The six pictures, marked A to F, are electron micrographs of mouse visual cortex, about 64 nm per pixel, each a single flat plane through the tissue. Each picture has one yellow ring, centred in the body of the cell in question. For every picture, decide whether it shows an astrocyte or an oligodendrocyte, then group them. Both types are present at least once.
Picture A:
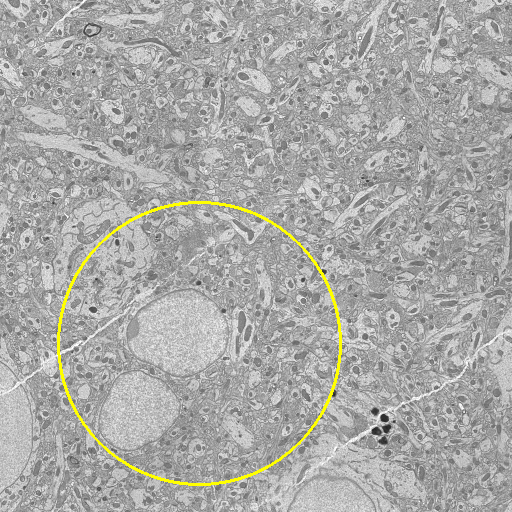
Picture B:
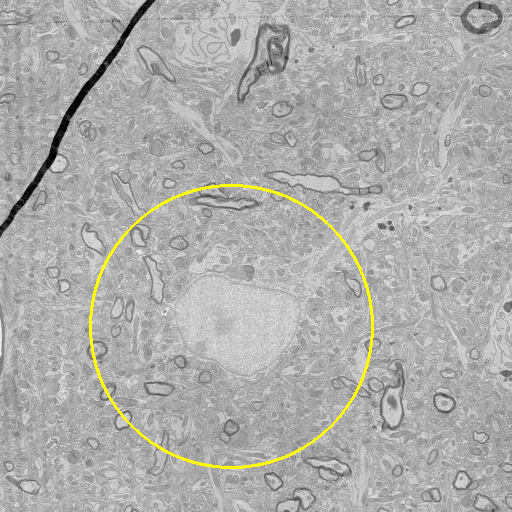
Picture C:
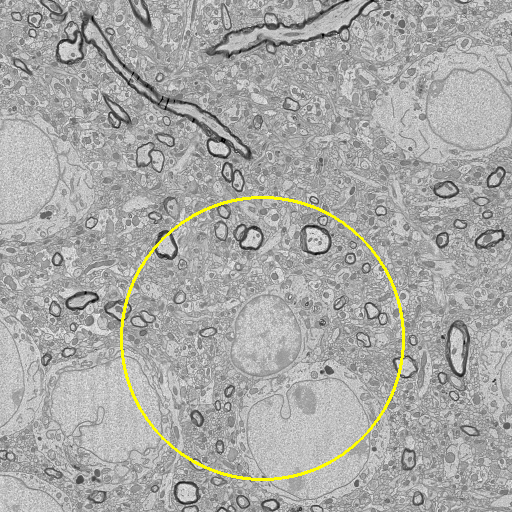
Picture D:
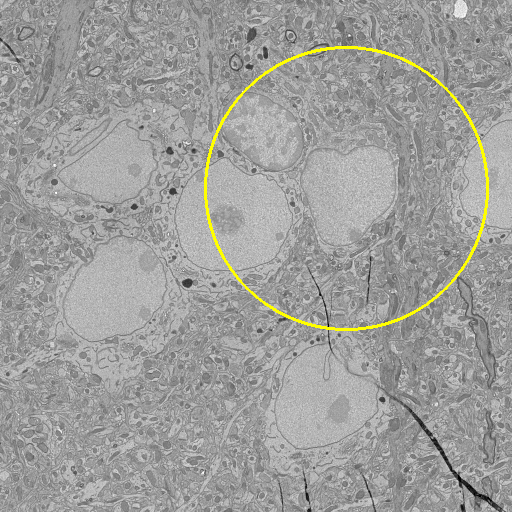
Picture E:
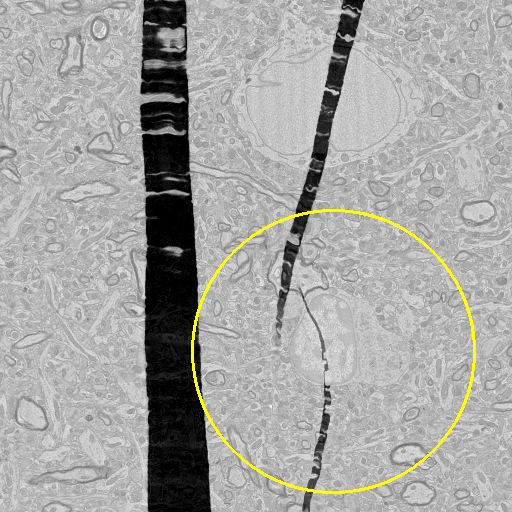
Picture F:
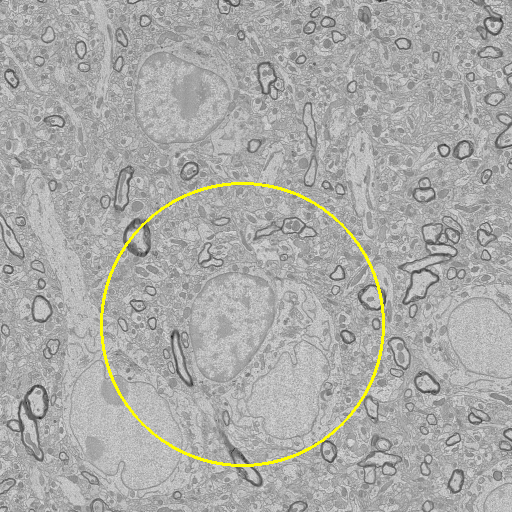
Pictures A, B and D show astrocytes, and pictures C, E and F show oligodendrocytes.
